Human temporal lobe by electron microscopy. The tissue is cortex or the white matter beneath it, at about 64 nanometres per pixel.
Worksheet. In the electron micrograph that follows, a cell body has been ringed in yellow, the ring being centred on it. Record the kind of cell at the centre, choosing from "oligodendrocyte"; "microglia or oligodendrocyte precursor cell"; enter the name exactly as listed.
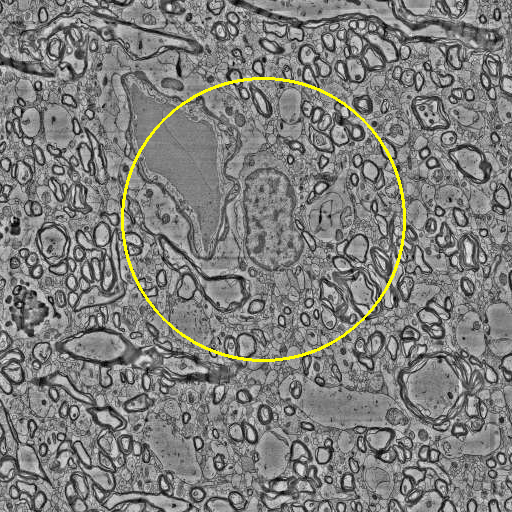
oligodendrocyte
